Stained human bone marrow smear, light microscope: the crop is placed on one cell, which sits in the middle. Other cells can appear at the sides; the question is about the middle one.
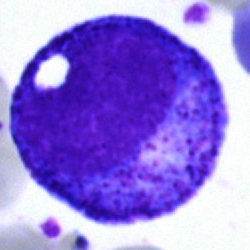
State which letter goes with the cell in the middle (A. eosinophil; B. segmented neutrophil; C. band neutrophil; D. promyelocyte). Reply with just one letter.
D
